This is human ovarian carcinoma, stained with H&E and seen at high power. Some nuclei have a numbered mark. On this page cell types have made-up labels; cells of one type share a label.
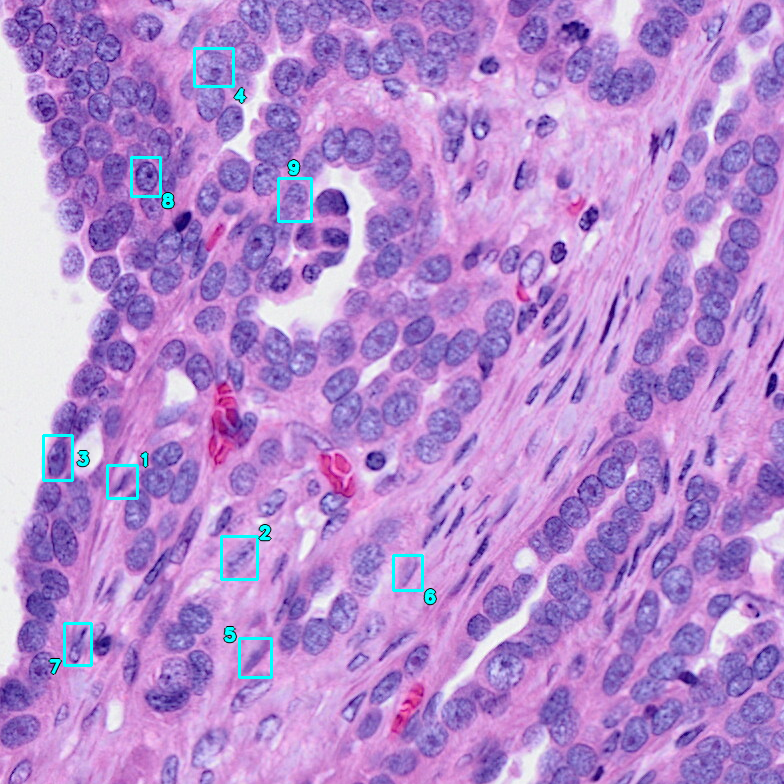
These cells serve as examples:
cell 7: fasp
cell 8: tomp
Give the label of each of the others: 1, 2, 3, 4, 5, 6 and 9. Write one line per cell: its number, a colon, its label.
1: fasp
2: fasp
3: tomp
4: tomp
5: fasp
6: fasp
9: tomp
